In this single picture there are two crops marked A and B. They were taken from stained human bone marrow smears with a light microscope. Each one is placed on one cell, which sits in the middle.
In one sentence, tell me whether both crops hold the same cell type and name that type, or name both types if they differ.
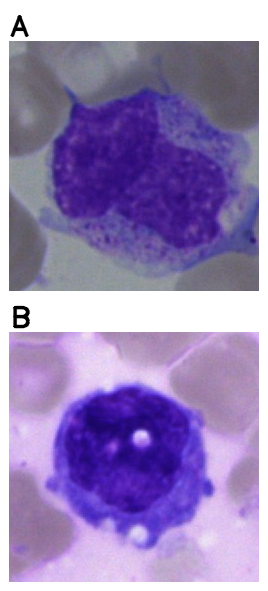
Yes, the first and the second crop both show monocytes.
